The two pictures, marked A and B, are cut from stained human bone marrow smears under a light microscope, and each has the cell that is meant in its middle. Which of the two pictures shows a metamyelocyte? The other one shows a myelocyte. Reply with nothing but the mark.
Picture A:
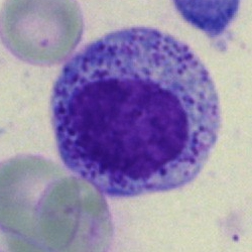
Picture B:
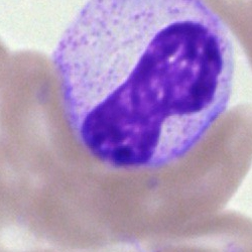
B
